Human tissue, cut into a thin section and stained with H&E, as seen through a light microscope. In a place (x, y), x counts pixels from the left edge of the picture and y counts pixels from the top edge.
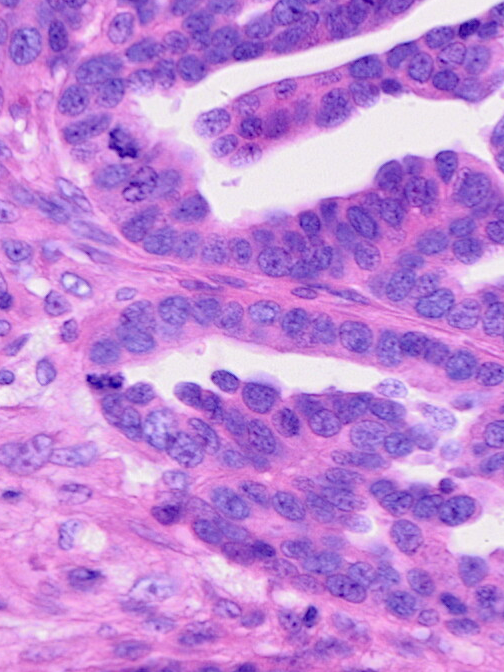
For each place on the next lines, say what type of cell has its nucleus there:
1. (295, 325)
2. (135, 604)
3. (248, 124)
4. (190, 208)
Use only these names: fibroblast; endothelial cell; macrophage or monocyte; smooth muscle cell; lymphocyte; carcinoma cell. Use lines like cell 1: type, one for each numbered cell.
cell 1: carcinoma cell
cell 2: fibroblast
cell 3: carcinoma cell
cell 4: carcinoma cell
